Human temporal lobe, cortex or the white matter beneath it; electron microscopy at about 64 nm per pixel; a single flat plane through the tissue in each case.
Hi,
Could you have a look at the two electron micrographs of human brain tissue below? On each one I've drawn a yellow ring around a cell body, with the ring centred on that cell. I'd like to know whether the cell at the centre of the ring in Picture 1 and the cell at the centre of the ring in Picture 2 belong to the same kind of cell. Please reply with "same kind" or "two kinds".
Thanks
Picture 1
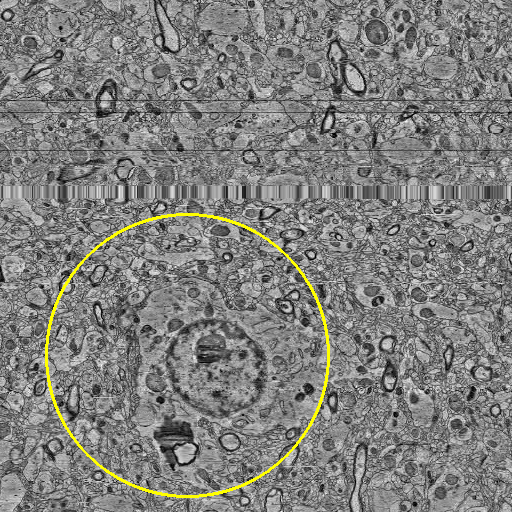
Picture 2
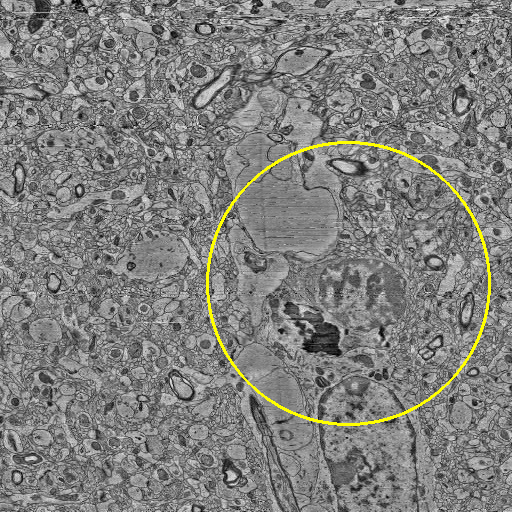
two kinds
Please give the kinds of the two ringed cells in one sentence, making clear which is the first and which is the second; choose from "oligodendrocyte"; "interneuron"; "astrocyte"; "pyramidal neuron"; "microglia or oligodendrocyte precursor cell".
In the second picture the ringed cell is an oligodendrocyte; in the first it is an astrocyte.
